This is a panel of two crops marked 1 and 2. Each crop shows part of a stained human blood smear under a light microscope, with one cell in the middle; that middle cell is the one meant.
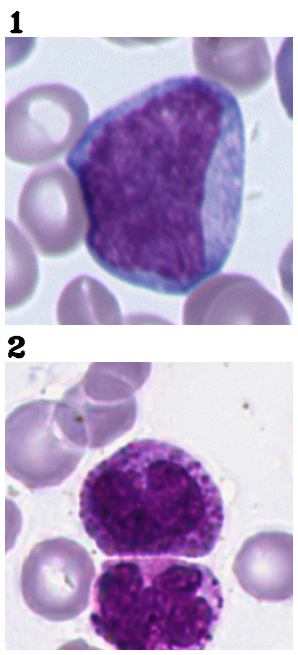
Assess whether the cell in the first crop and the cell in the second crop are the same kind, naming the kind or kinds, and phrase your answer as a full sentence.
No, a promyelocyte is centred in crop 1, and a basophil is centred in crop 2.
